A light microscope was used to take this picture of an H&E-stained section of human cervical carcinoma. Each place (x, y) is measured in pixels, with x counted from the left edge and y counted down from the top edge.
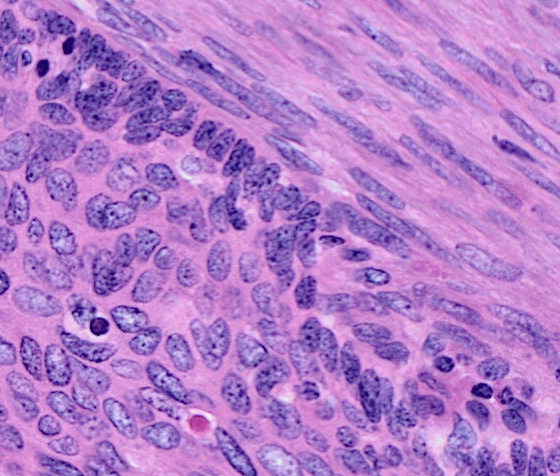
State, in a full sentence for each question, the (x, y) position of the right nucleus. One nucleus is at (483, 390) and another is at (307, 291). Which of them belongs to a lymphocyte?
The nucleus found at (483, 390) belongs to a lymphocyte.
